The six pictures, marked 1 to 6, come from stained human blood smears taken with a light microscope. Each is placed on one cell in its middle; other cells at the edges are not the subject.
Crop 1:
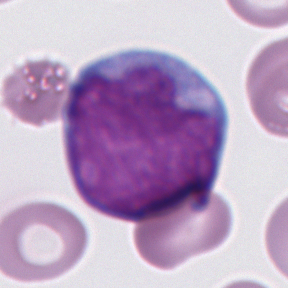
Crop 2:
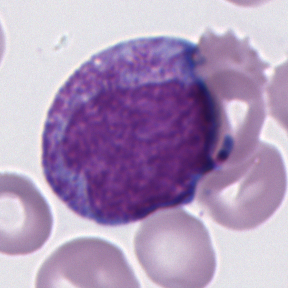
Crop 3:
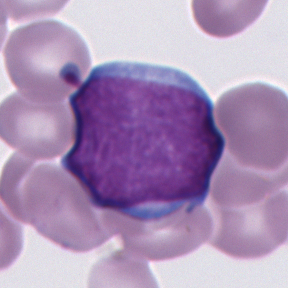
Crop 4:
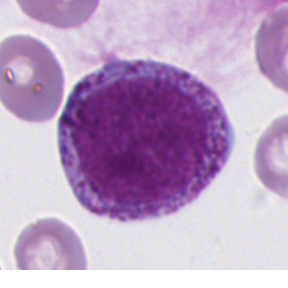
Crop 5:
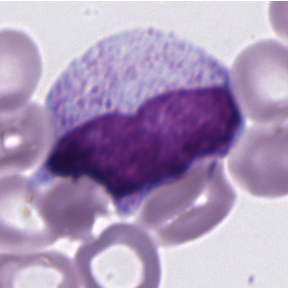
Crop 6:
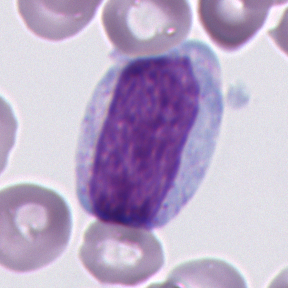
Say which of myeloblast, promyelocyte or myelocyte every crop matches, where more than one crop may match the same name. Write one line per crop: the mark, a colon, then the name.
1: myeloblast
2: promyelocyte
3: myeloblast
4: promyelocyte
5: myelocyte
6: myelocyte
